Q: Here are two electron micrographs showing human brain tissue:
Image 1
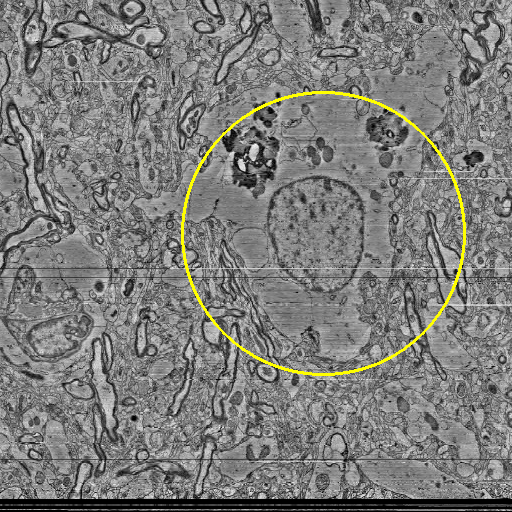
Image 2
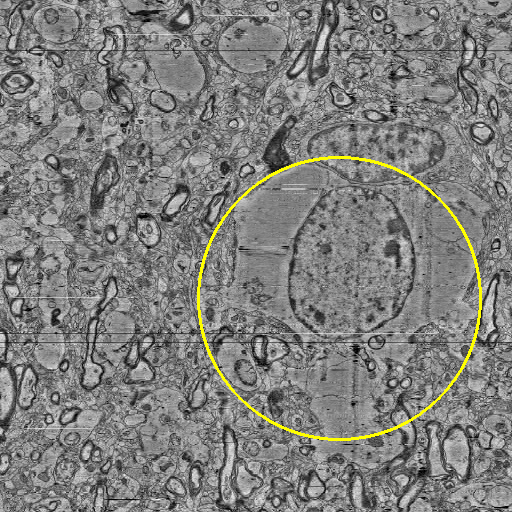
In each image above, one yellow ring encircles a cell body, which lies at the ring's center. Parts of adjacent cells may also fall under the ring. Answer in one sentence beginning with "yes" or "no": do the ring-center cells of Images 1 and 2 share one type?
Yes, in Images 1 and 2, the ring-center cells are both of one type.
